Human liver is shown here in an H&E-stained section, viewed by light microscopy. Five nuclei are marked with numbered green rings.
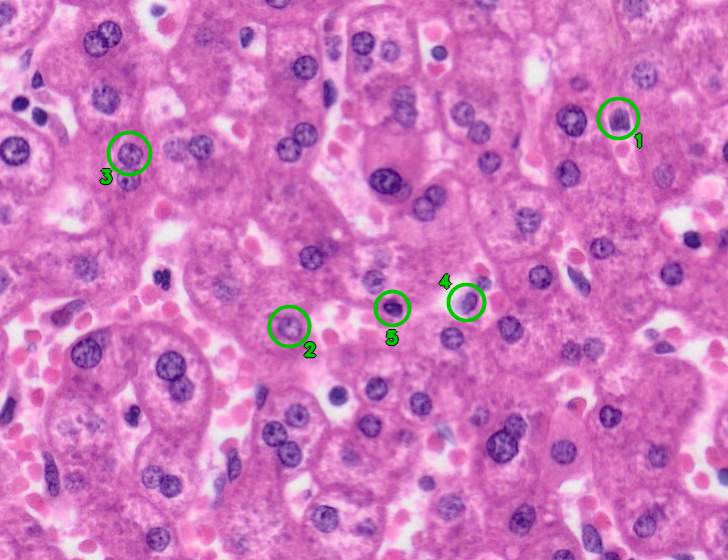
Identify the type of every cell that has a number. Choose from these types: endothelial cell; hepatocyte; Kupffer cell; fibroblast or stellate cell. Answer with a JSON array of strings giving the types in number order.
["endothelial cell", "hepatocyte", "hepatocyte", "Kupffer cell", "fibroblast or stellate cell"]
